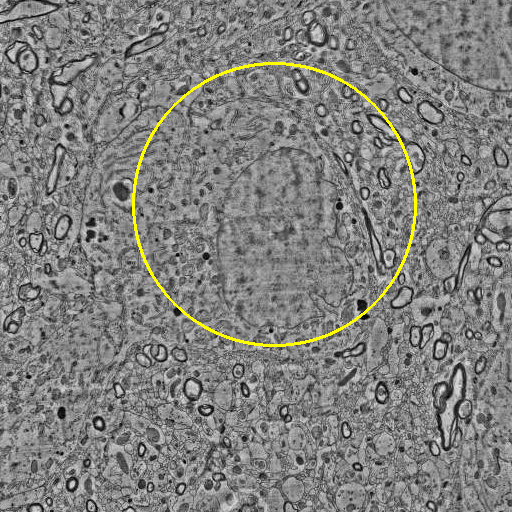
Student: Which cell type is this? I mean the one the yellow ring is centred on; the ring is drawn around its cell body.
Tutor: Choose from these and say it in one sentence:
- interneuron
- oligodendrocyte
The cell the ring is centred on is an interneuron.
